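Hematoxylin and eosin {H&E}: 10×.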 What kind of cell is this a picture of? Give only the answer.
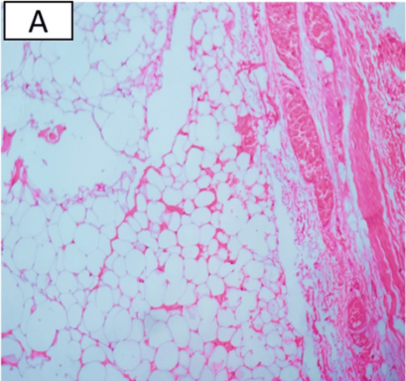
adipocytes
